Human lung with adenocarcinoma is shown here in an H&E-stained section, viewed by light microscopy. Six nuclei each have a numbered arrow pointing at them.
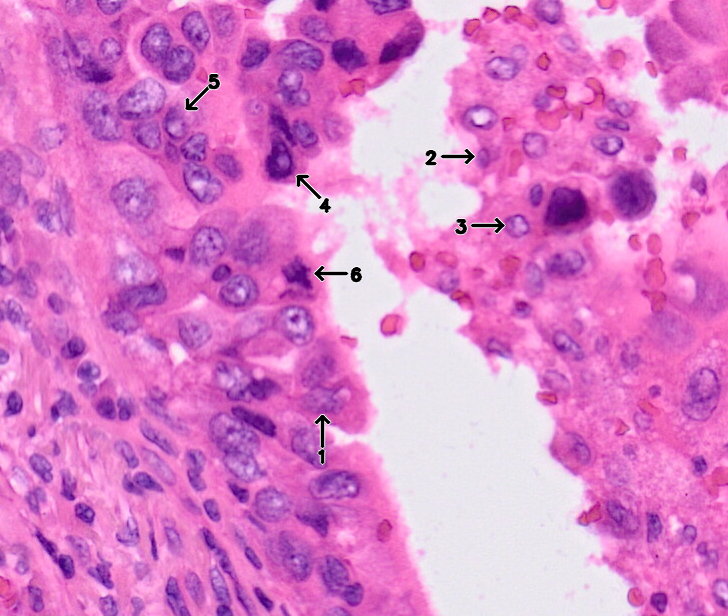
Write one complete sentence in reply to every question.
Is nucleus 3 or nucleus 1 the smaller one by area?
Nucleus 3 is the smaller one; nucleus 1 covers about 2 times its area.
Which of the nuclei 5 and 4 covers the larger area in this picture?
Number 4 is larger; its area is about 1.5 times that of number 5.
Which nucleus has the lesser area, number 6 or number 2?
It is nucleus 2; nucleus 6 has about 1.5 times its area.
